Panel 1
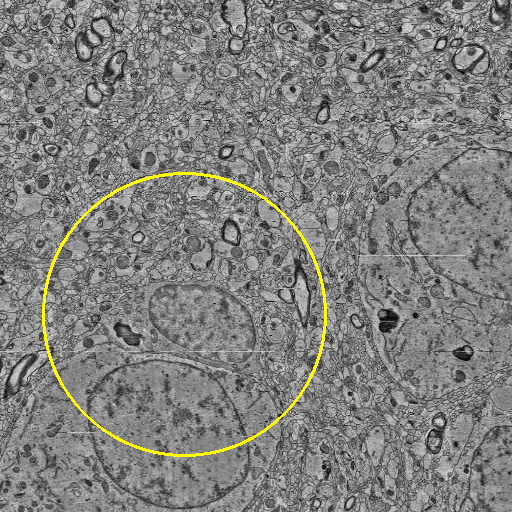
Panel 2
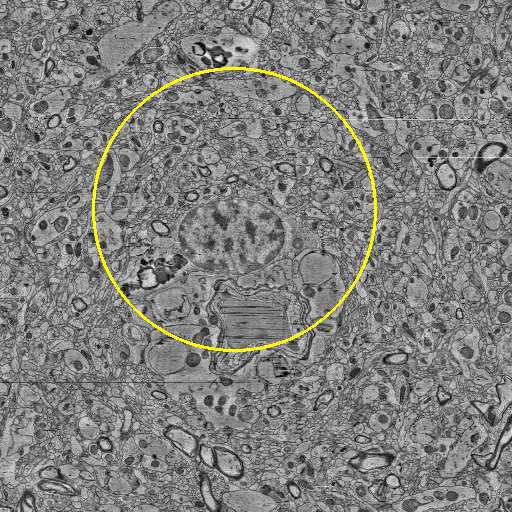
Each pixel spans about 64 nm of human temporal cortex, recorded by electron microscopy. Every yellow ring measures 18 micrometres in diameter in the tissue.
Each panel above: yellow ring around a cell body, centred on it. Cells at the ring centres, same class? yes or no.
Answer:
yes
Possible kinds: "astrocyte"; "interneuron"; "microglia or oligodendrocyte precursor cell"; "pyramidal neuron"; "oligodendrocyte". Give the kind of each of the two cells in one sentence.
Each of the ringed cells, first and second, is an oligodendrocyte.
